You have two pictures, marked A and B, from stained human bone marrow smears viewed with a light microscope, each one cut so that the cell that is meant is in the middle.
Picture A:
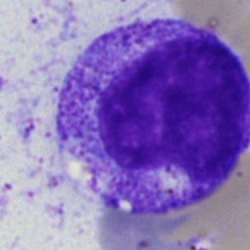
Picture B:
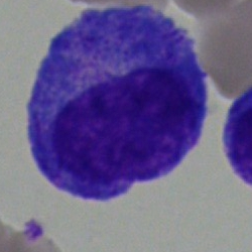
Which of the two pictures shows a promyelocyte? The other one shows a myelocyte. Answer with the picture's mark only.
B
